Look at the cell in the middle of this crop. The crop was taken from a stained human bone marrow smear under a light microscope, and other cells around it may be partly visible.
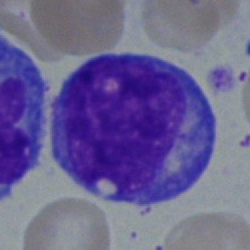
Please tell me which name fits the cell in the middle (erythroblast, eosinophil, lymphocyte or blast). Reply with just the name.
blast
